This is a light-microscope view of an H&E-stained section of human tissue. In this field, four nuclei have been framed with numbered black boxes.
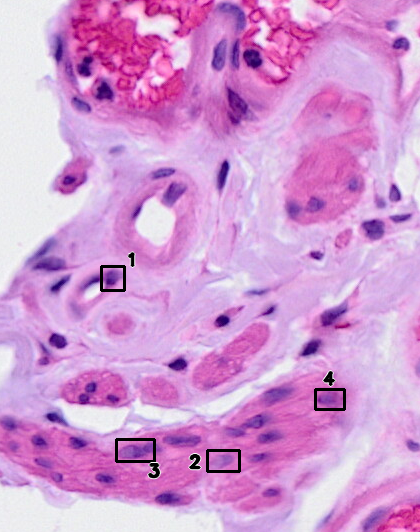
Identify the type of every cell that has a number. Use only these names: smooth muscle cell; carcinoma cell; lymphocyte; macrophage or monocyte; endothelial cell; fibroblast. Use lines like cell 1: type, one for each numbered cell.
cell 1: endothelial cell
cell 2: smooth muscle cell
cell 3: smooth muscle cell
cell 4: smooth muscle cell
